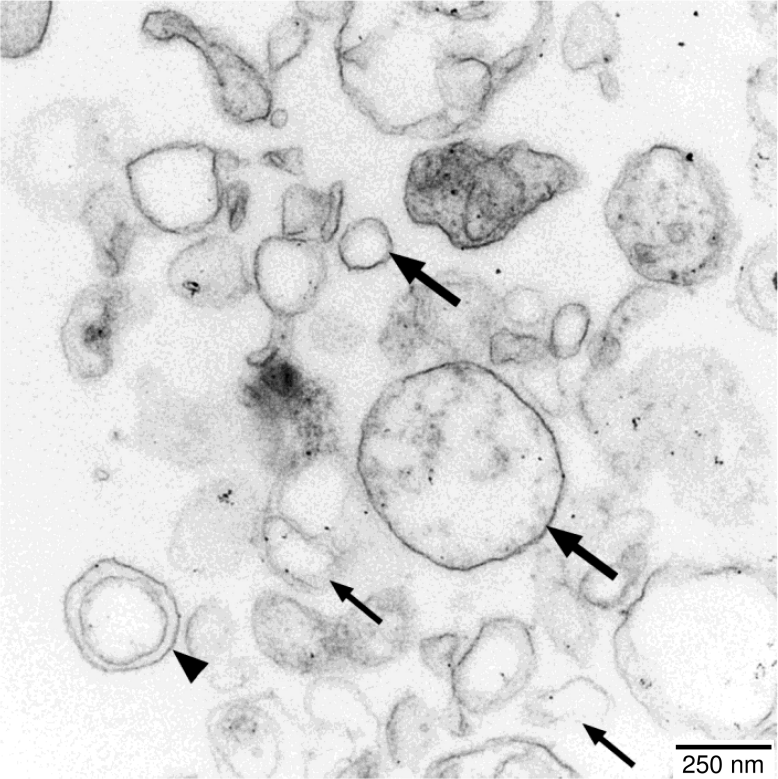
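At higher magnification, this isolated membrane fraction shows scattered vesicles lying in an otherwise pale background, with no intact cells. Most vesicles are round and bounded by a single thin dark membrane, from small ones to one large sac with a faintly granular interior. Lower left, one round profile has two concentric membranes separated by a narrow clear space, a double-membrane vesicle. Between the vesicles lie faint, irregular, unclosed membrane fragments and a few dense, irregular profiles with darker contents.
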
